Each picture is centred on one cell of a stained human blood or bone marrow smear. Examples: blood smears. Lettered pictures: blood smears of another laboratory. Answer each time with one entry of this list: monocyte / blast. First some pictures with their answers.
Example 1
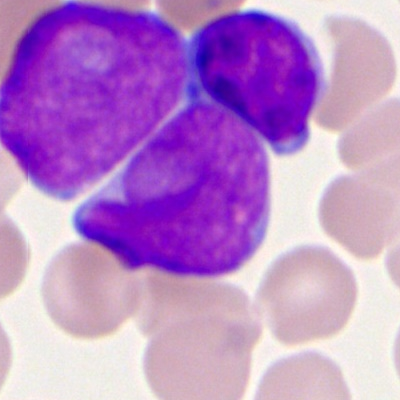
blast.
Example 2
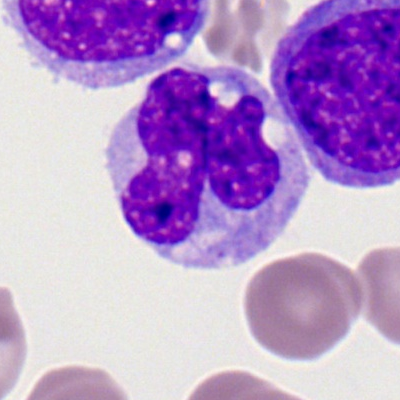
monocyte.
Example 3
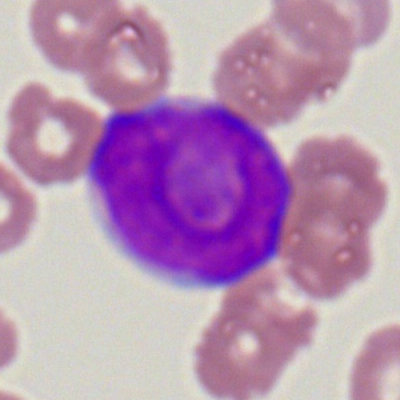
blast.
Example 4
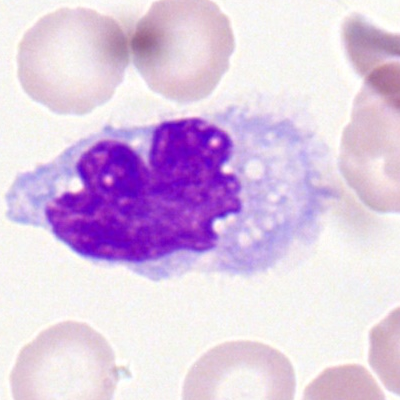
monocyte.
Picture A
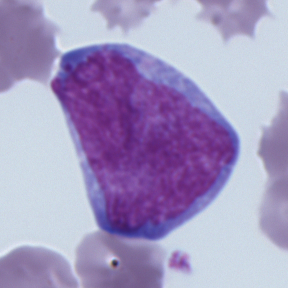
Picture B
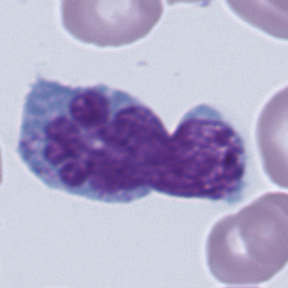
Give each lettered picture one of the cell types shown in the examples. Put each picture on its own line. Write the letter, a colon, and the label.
A: blast.
B: monocyte.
